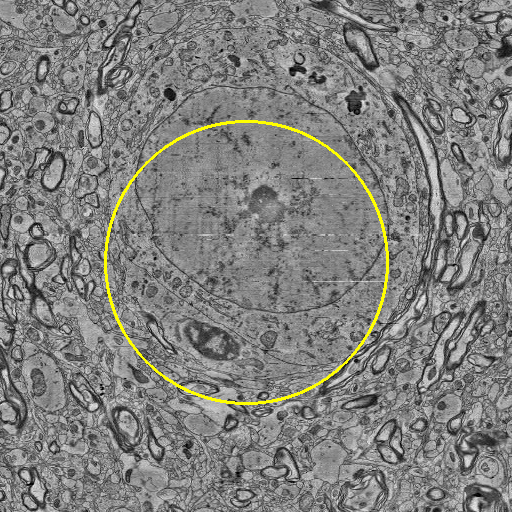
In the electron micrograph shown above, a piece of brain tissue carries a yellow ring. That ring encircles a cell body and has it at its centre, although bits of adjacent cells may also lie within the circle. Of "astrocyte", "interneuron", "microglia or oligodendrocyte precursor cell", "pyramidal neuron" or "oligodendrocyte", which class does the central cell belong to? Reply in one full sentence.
The cell body at the centre of the yellow ring belongs to a pyramidal neuron.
